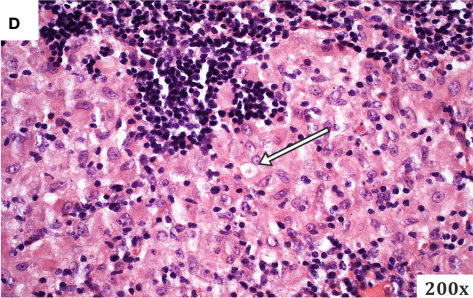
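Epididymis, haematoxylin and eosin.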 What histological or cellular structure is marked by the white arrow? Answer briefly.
asteroid bodies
